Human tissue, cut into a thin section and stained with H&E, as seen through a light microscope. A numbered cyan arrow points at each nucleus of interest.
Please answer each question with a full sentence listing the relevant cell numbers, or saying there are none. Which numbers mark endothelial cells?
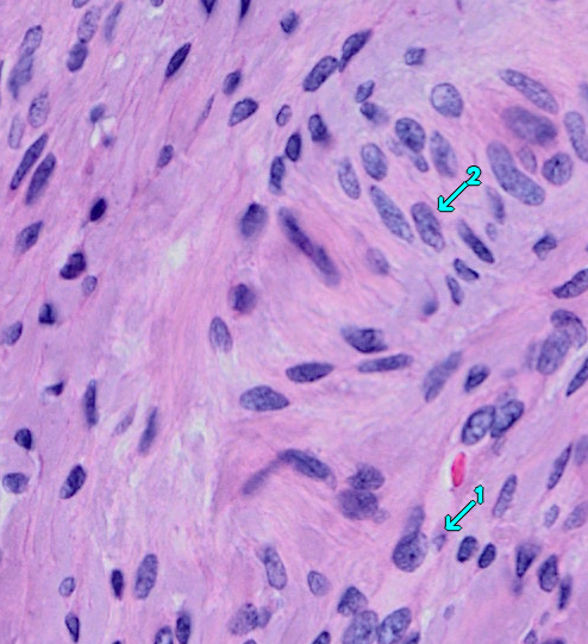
The nucleus numbered 1 is the only one that belongs to an endothelial cell.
